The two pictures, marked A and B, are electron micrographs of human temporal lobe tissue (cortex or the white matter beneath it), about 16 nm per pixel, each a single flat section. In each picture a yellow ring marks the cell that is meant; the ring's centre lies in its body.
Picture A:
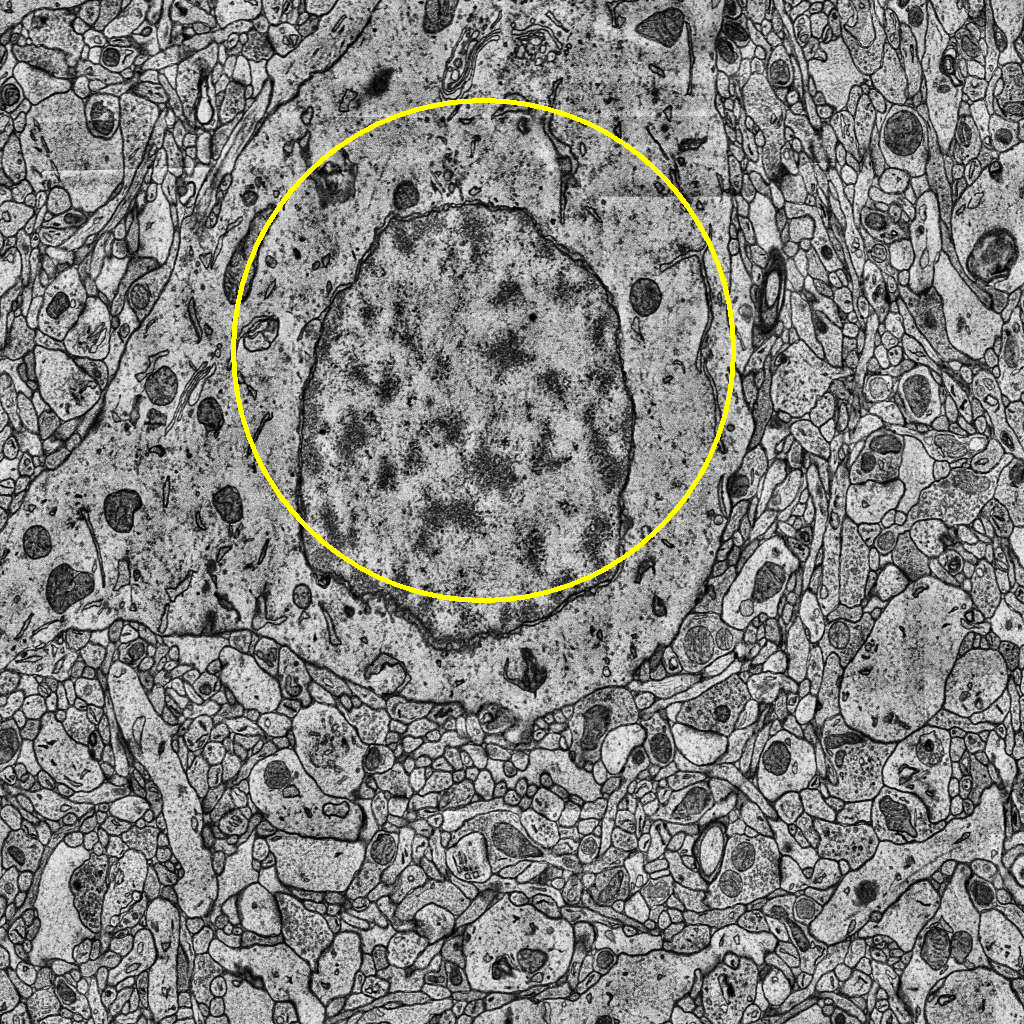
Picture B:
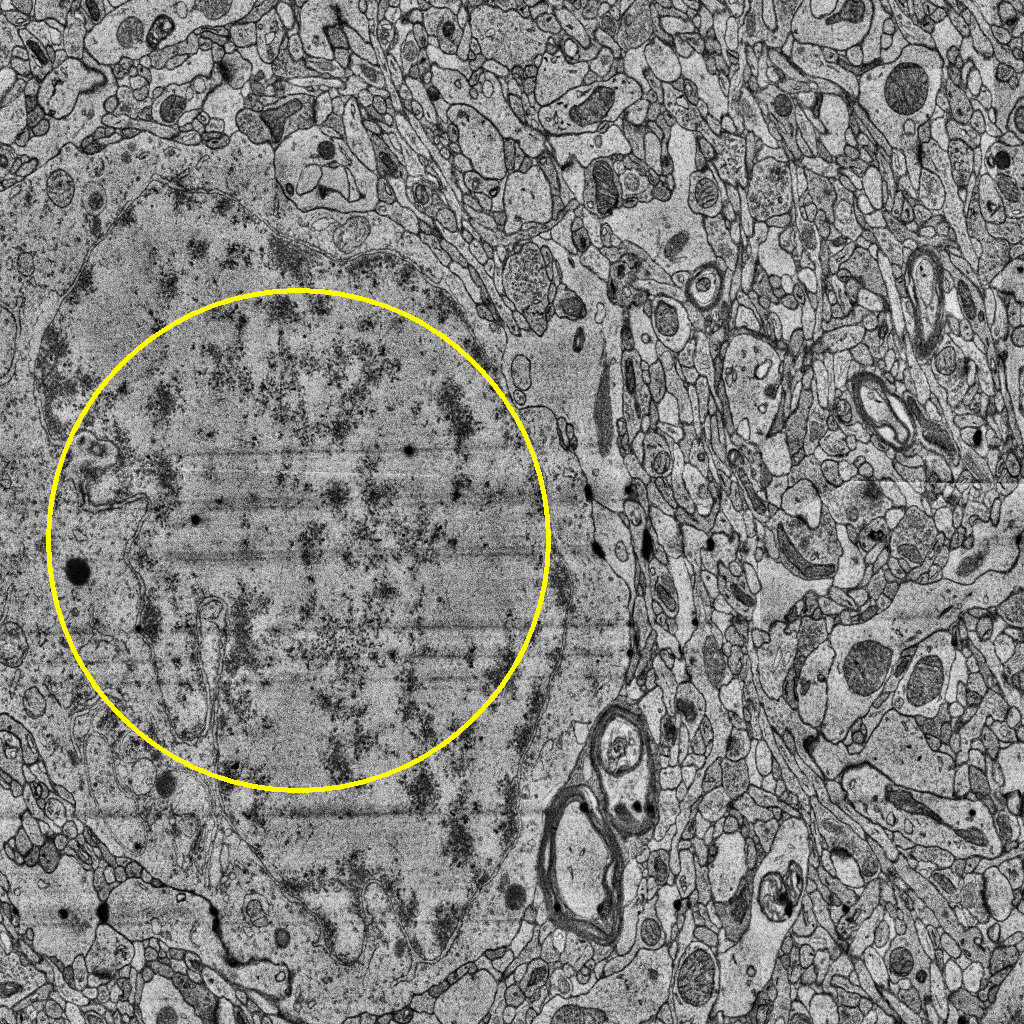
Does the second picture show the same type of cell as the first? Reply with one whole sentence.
No, the types are not the same, since picture A shows a pyramidal neuron and picture B an interneuron.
